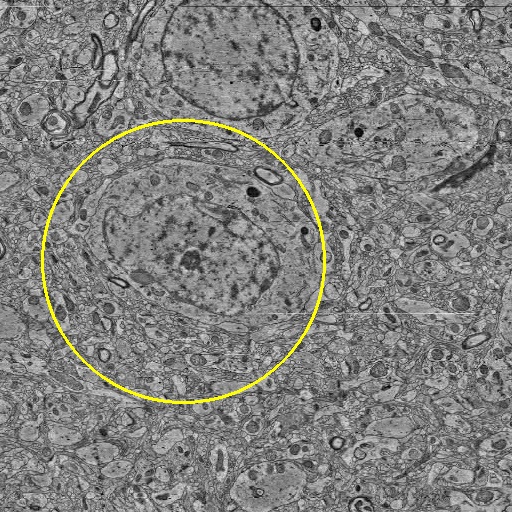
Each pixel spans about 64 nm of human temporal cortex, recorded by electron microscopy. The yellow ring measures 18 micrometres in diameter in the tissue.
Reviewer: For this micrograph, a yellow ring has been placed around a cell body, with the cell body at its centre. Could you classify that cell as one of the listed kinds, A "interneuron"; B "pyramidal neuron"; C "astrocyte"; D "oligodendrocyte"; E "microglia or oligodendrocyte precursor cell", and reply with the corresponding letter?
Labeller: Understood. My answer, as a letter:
A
